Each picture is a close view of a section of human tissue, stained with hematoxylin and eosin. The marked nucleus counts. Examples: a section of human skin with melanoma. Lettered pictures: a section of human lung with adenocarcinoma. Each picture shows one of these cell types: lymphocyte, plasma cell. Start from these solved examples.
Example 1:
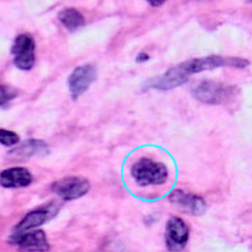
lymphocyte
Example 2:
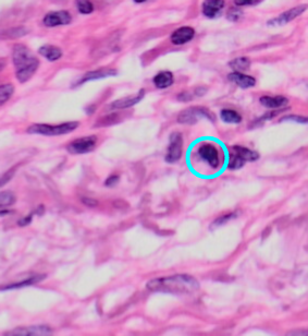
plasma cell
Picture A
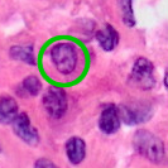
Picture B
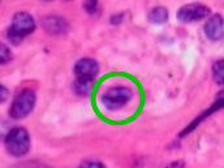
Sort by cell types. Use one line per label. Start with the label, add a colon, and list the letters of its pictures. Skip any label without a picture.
lymphocyte: B
plasma cell: A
